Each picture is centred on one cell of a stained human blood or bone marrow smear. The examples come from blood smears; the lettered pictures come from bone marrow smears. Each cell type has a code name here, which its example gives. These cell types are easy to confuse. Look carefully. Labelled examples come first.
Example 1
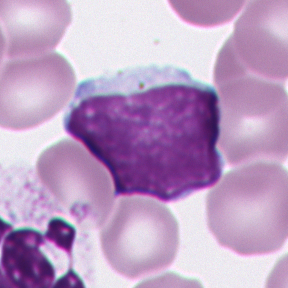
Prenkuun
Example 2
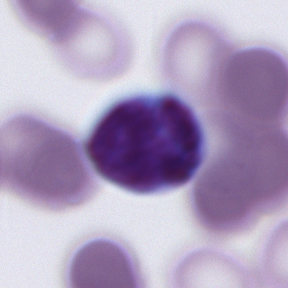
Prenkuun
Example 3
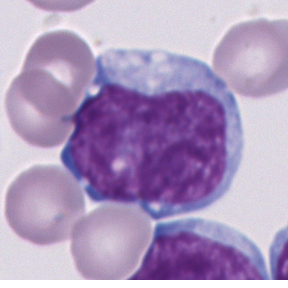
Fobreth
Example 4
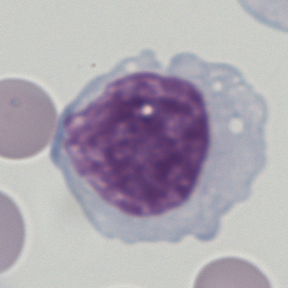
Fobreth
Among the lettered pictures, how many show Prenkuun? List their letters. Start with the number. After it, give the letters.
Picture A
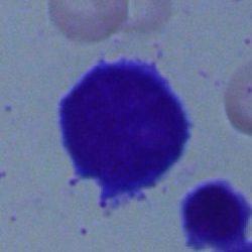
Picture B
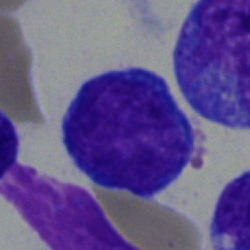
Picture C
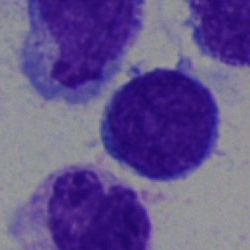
0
